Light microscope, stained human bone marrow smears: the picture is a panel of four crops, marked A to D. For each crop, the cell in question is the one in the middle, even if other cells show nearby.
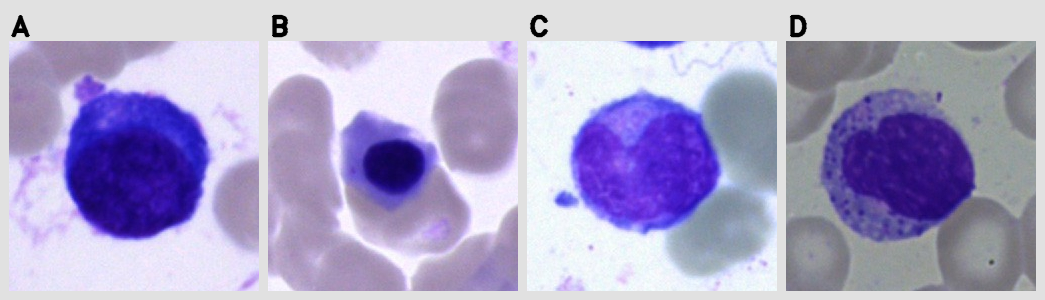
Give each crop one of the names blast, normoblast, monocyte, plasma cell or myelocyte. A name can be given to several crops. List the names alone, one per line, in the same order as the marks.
plasma cell
normoblast
blast
myelocyte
